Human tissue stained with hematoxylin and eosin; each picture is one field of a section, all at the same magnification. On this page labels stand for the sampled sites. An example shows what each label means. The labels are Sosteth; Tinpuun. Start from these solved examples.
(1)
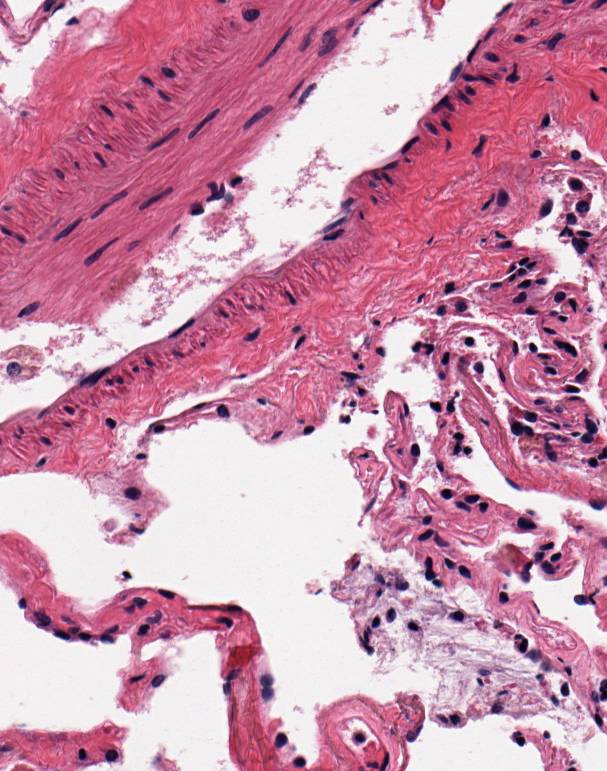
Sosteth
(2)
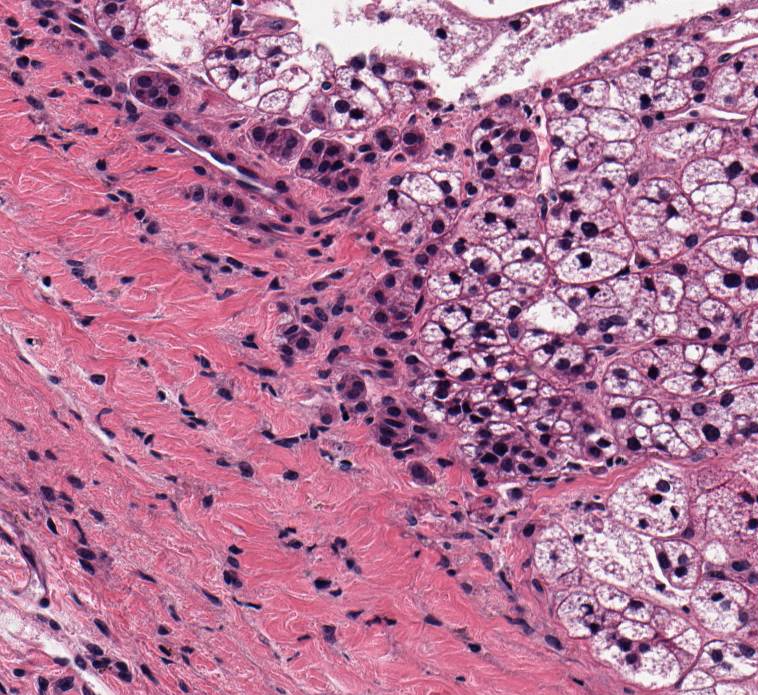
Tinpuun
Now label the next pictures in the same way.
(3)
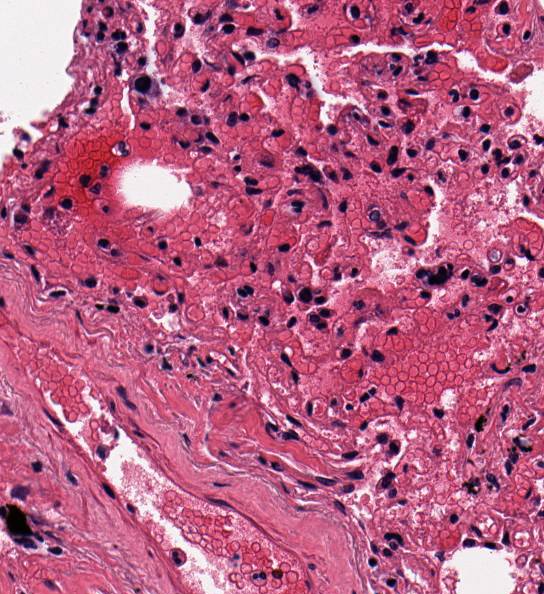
Sosteth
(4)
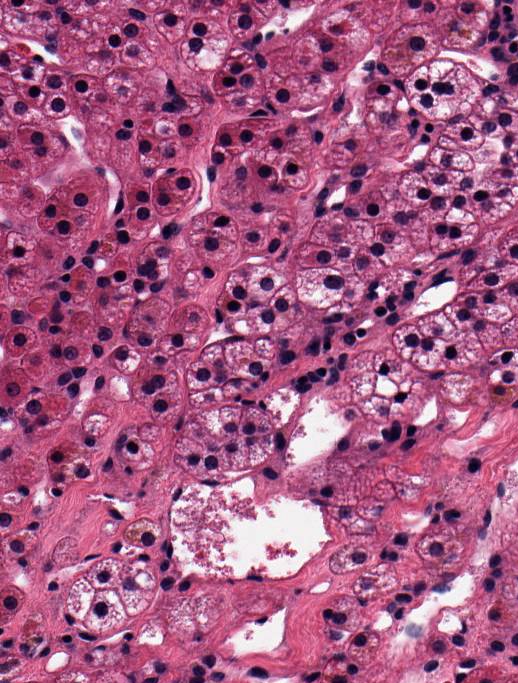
Tinpuun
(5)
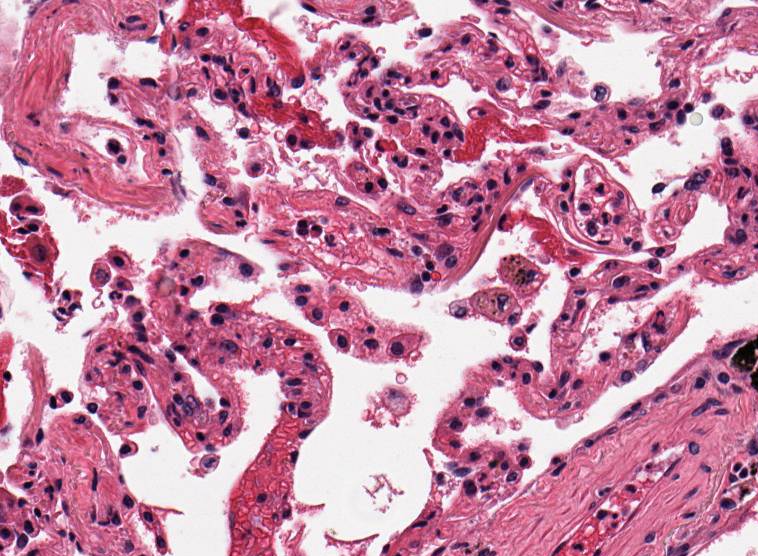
Sosteth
